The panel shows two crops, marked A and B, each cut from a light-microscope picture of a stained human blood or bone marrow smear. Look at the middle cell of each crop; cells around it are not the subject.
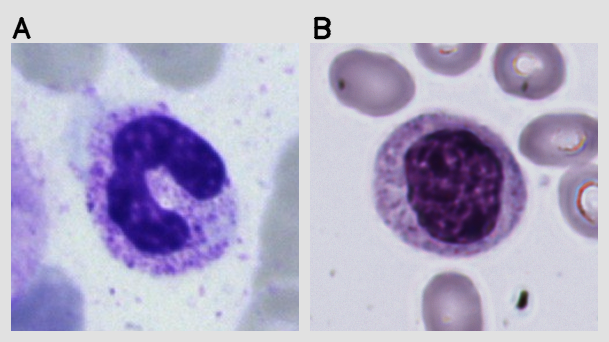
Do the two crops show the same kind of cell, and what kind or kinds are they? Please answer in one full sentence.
No, the cell centred in crop A is a band neutrophil, and that centred in crop B is a metamyelocyte.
